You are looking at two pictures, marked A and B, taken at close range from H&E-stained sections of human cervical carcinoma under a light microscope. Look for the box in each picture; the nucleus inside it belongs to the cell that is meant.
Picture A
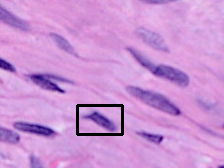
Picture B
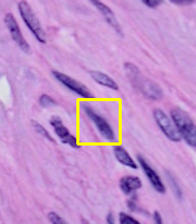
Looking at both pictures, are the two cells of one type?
yes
